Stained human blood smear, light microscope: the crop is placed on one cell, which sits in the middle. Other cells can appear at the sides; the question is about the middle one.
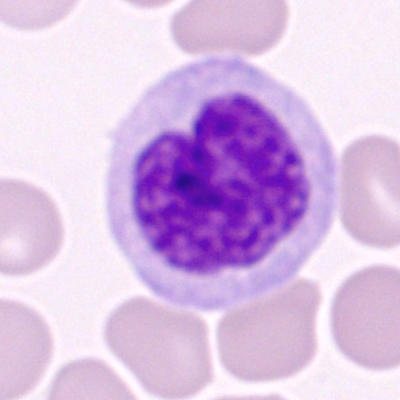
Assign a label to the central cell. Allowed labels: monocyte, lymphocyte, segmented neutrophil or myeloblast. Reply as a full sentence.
This particular crop is centered on a monocyte.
